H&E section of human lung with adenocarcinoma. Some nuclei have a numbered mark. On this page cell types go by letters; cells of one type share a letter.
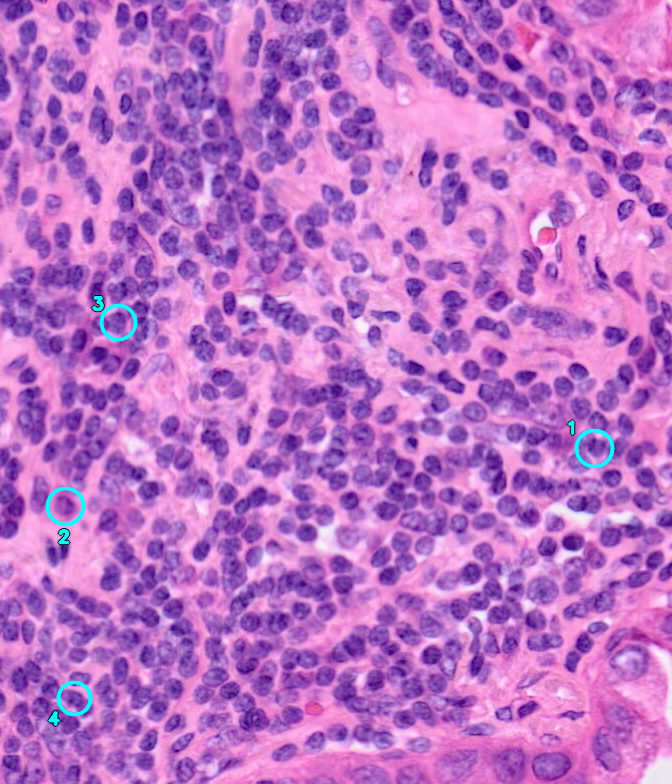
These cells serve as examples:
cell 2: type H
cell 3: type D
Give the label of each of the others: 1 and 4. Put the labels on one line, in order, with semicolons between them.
type D; type D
